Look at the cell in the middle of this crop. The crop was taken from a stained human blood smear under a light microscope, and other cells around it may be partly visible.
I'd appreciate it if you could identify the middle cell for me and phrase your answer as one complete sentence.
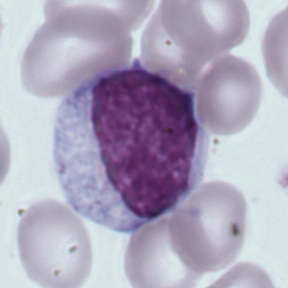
The cell at the centre of the field is a myelocyte.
